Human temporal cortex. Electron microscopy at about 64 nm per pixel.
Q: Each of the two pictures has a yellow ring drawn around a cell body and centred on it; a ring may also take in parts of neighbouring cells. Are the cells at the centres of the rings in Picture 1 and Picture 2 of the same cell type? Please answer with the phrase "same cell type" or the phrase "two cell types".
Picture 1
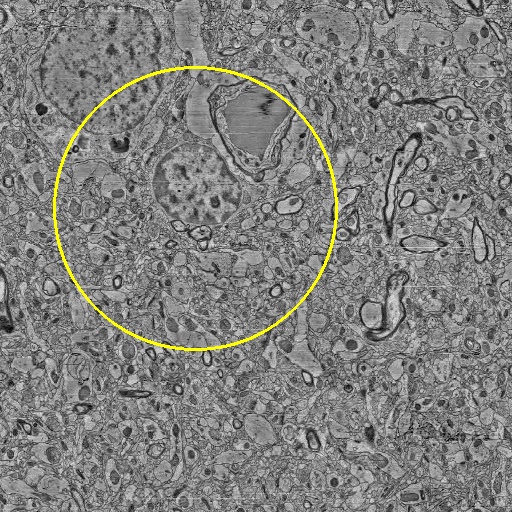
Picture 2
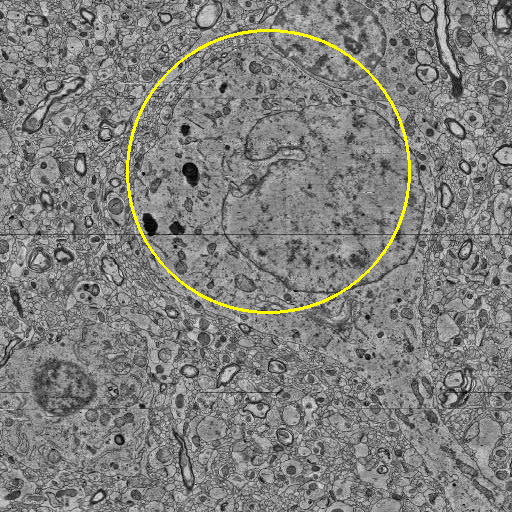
two cell types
